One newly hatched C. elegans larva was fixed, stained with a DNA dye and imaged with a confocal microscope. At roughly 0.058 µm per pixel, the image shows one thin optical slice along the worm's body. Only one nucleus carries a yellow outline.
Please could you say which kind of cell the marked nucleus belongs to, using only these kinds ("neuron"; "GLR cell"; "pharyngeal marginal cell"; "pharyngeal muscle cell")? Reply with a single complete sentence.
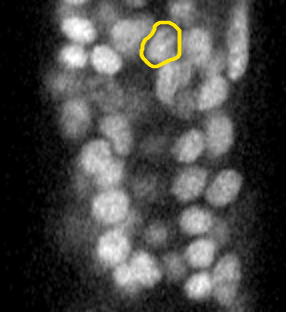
This is the nucleus of a pharyngeal muscle cell.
